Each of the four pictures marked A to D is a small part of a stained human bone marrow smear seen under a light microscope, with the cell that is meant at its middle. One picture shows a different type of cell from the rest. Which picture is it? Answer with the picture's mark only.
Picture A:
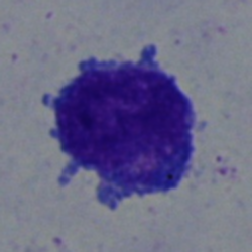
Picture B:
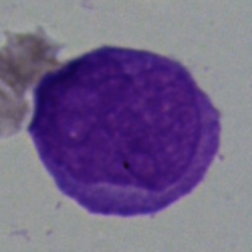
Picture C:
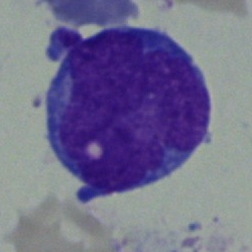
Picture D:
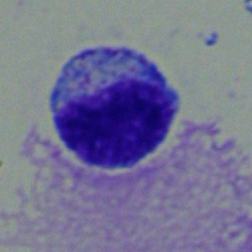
D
